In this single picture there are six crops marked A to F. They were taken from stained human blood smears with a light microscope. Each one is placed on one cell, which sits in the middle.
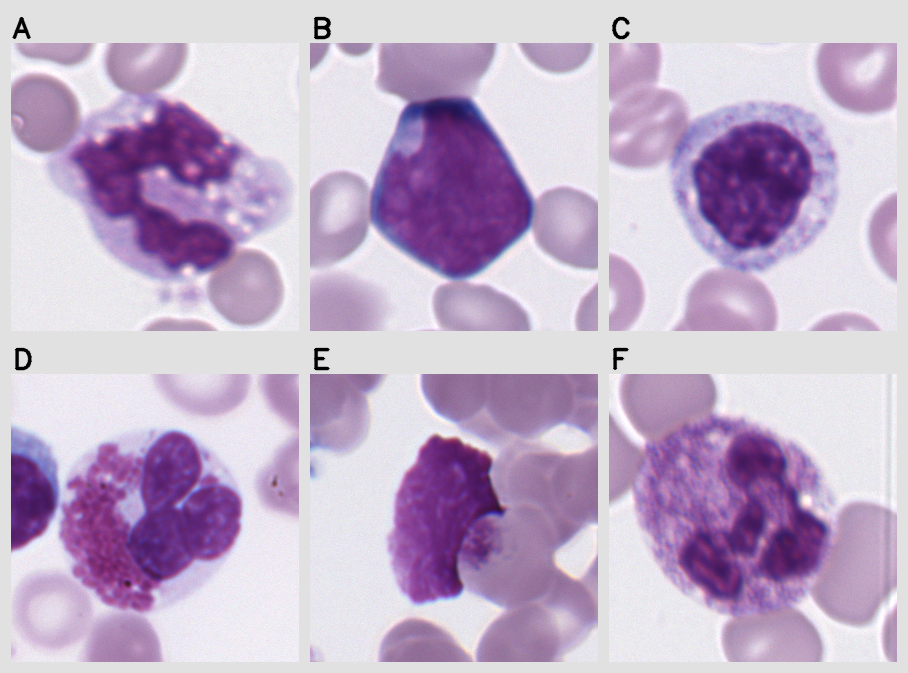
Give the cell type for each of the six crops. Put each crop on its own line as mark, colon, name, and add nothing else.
A: monocyte
B: myeloblast
C: metamyelocyte
D: eosinophil
E: smudge cell
F: segmented neutrophil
